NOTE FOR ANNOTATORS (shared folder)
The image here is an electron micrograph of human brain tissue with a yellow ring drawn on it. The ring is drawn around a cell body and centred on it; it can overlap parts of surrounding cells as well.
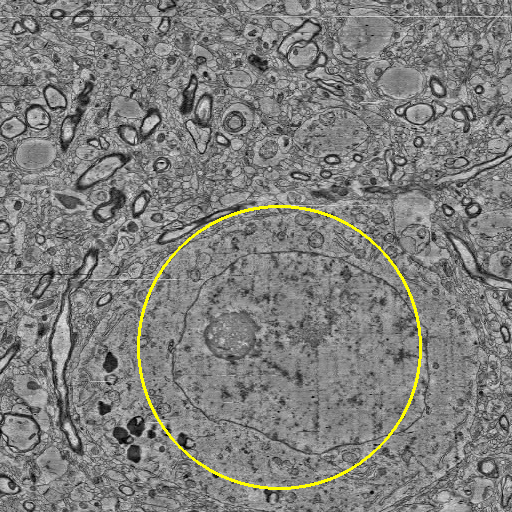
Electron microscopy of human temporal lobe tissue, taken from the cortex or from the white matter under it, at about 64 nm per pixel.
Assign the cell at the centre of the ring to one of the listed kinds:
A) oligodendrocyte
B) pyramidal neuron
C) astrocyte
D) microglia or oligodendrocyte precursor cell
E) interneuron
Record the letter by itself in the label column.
B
